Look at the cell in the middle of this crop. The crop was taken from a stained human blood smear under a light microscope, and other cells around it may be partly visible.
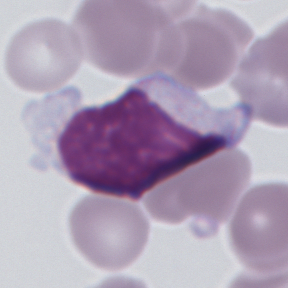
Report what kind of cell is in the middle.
large granular lymphocyte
